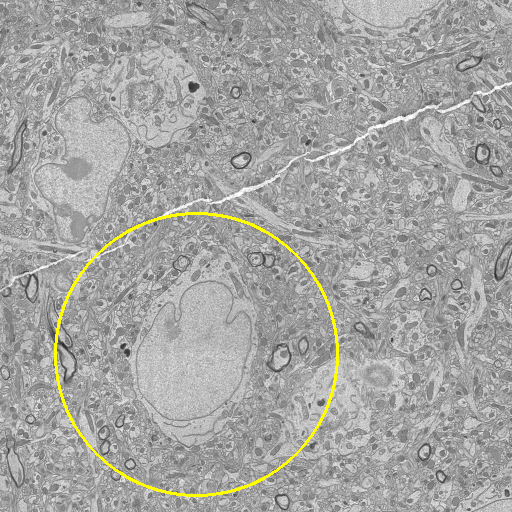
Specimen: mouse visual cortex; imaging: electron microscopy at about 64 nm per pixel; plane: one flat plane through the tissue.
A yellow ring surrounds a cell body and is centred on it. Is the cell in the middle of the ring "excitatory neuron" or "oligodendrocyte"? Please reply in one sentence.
The ring is centred on an excitatory neuron.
